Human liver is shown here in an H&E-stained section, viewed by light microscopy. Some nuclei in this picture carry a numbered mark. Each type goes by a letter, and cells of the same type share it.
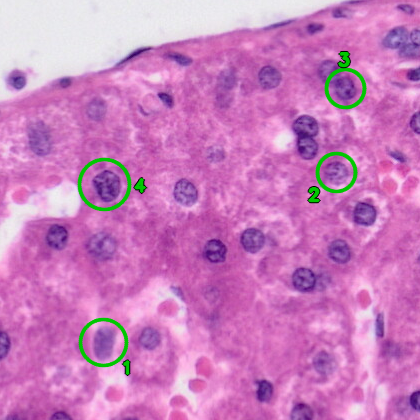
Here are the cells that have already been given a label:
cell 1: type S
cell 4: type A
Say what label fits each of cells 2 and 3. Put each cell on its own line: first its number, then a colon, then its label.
2: type A
3: type A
